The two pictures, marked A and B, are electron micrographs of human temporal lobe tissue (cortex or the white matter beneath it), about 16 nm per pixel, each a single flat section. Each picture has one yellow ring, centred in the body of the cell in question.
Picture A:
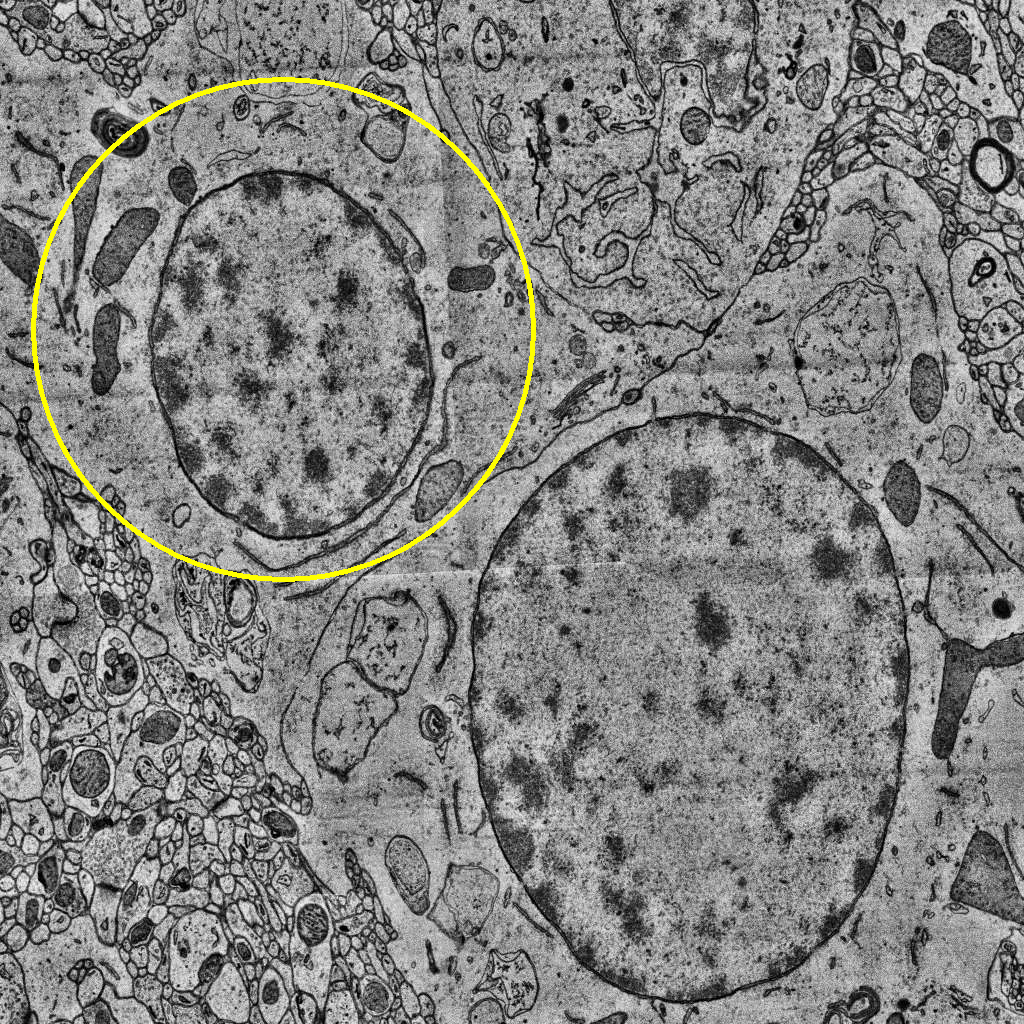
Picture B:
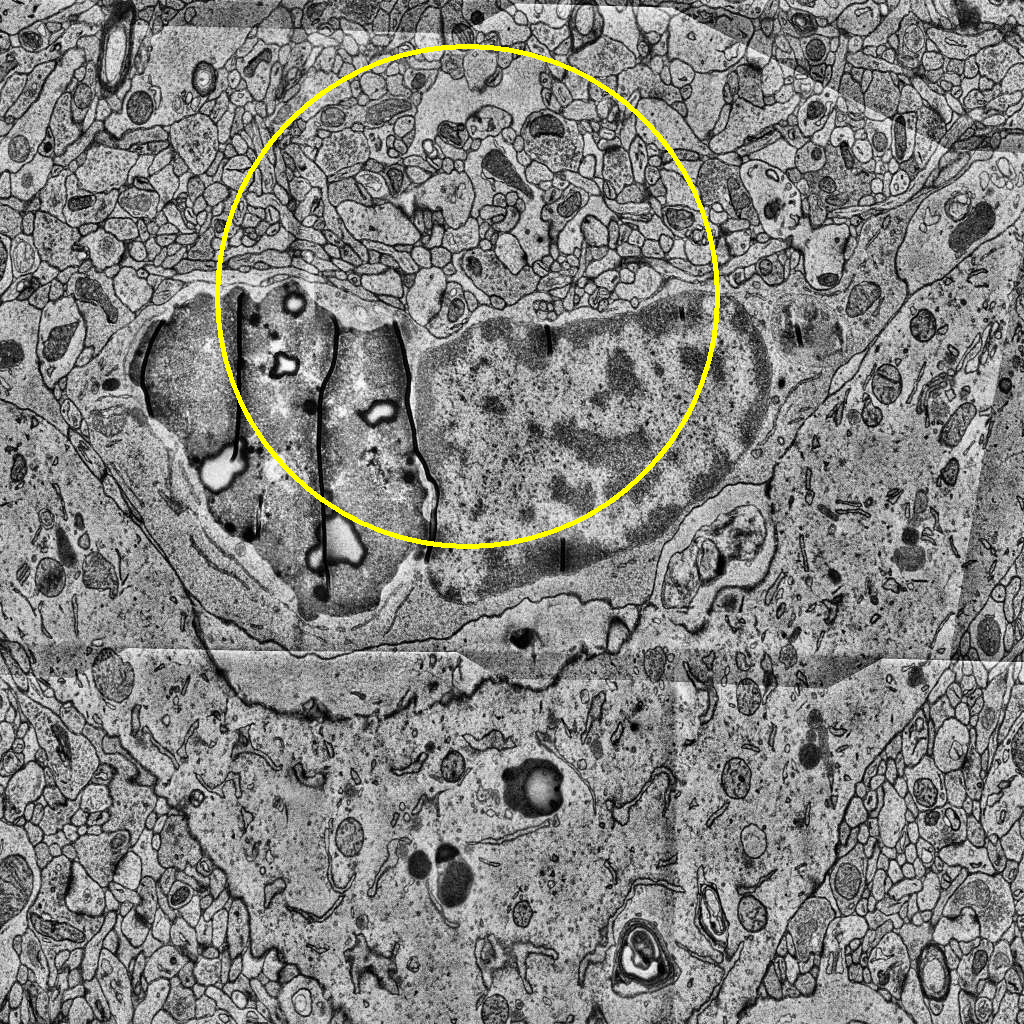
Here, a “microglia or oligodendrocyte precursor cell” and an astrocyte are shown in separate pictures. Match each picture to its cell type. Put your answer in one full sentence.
Picture A is of an astrocyte, and picture B is of a “microglia or oligodendrocyte precursor cell”.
